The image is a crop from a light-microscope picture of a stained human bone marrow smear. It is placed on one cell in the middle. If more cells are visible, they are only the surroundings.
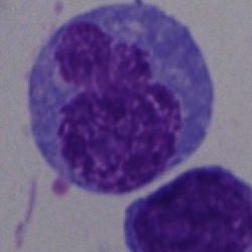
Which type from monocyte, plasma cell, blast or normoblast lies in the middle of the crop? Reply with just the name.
monocyte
